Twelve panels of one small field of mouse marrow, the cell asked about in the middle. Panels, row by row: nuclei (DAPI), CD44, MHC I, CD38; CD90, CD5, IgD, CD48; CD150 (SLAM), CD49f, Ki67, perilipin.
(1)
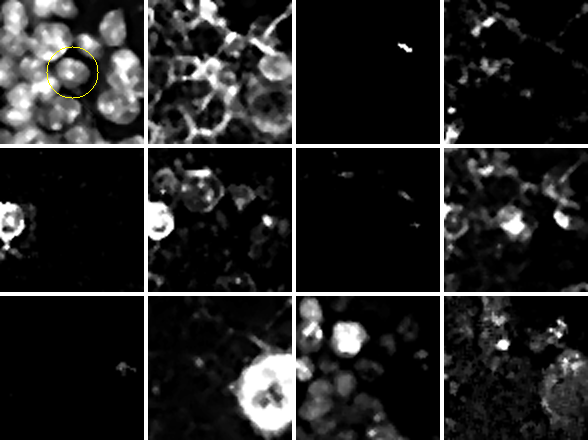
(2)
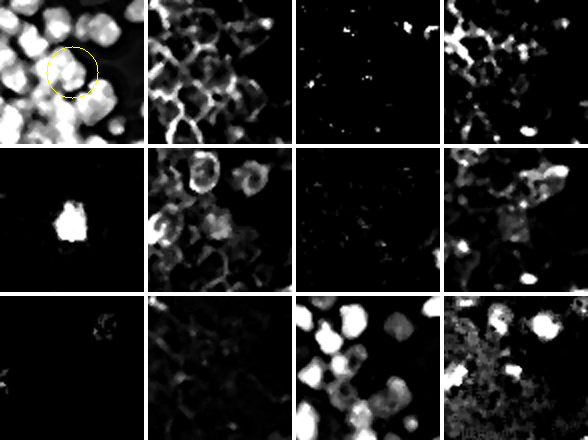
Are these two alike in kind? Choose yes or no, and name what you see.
No. First a monocyte, second a T cell.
